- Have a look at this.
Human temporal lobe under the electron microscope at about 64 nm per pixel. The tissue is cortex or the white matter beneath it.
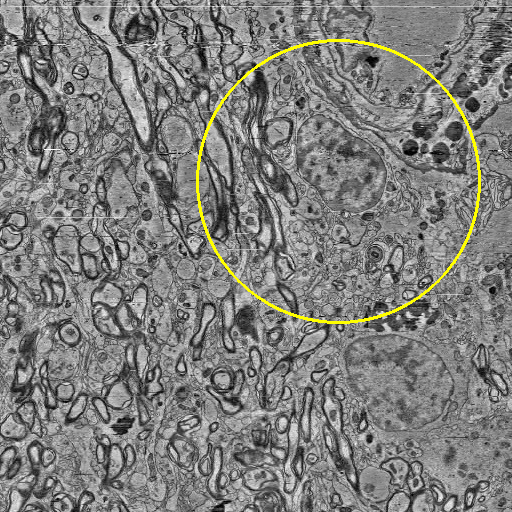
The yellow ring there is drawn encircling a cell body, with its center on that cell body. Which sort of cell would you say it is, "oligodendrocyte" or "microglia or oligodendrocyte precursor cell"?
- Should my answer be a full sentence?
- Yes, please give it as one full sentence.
For this picture, a microglial cell or oligodendrocyte precursor cell is the cell where the yellow ring has its center.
